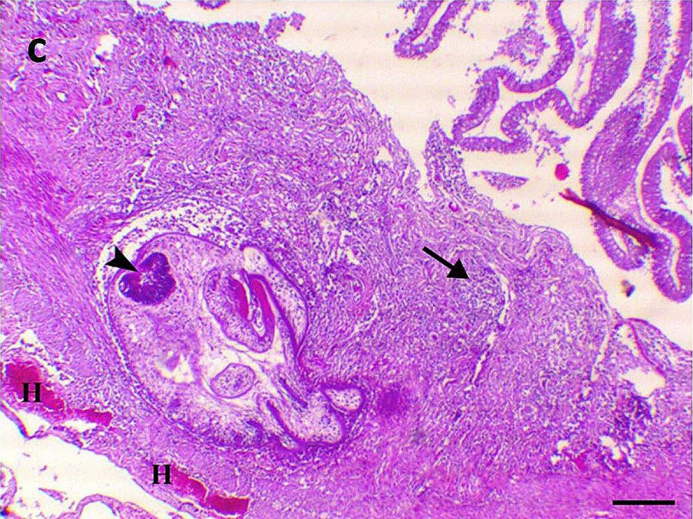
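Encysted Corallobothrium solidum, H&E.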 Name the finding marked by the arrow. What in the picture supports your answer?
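The arrow points to tissue densely packed with small dark nuclei. This cellular area lies beside the cyst in the wall tissue.
Hence: inflammatory cells infiltration.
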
